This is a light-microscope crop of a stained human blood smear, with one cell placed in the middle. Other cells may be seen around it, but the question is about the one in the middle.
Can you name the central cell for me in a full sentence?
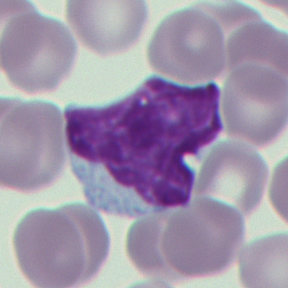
Where the crop is centred, there is a lymphocyte.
